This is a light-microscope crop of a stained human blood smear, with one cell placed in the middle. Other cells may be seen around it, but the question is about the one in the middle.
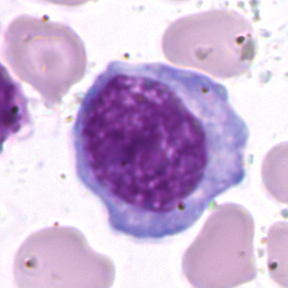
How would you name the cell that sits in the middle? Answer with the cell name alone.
plasma cell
